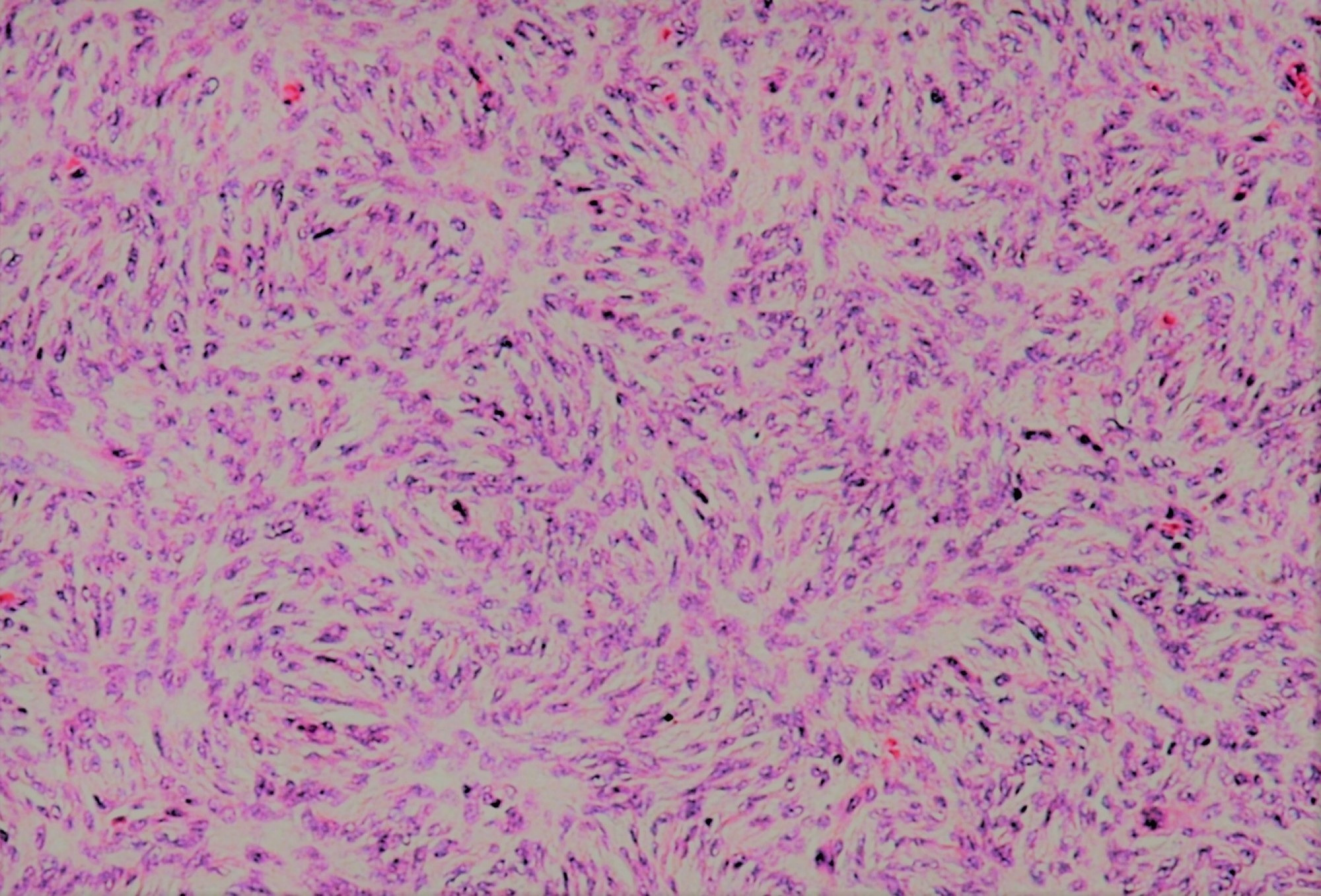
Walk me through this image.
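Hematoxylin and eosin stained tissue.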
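This densely cellular tissue is made of spindle-shaped cells arranged in a storiform pattern, with short fascicles radiating like spokes of a cartwheel around paler central points. The cells have oval to elongated purple nuclei and scant, ill-defined pink cytoplasm that merges into a pale pink fibrillary background. Scattered nuclei are smaller and much darker than their neighbours. A few bright red cells, probably red blood cells, lie here and there between the tumour cells.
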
